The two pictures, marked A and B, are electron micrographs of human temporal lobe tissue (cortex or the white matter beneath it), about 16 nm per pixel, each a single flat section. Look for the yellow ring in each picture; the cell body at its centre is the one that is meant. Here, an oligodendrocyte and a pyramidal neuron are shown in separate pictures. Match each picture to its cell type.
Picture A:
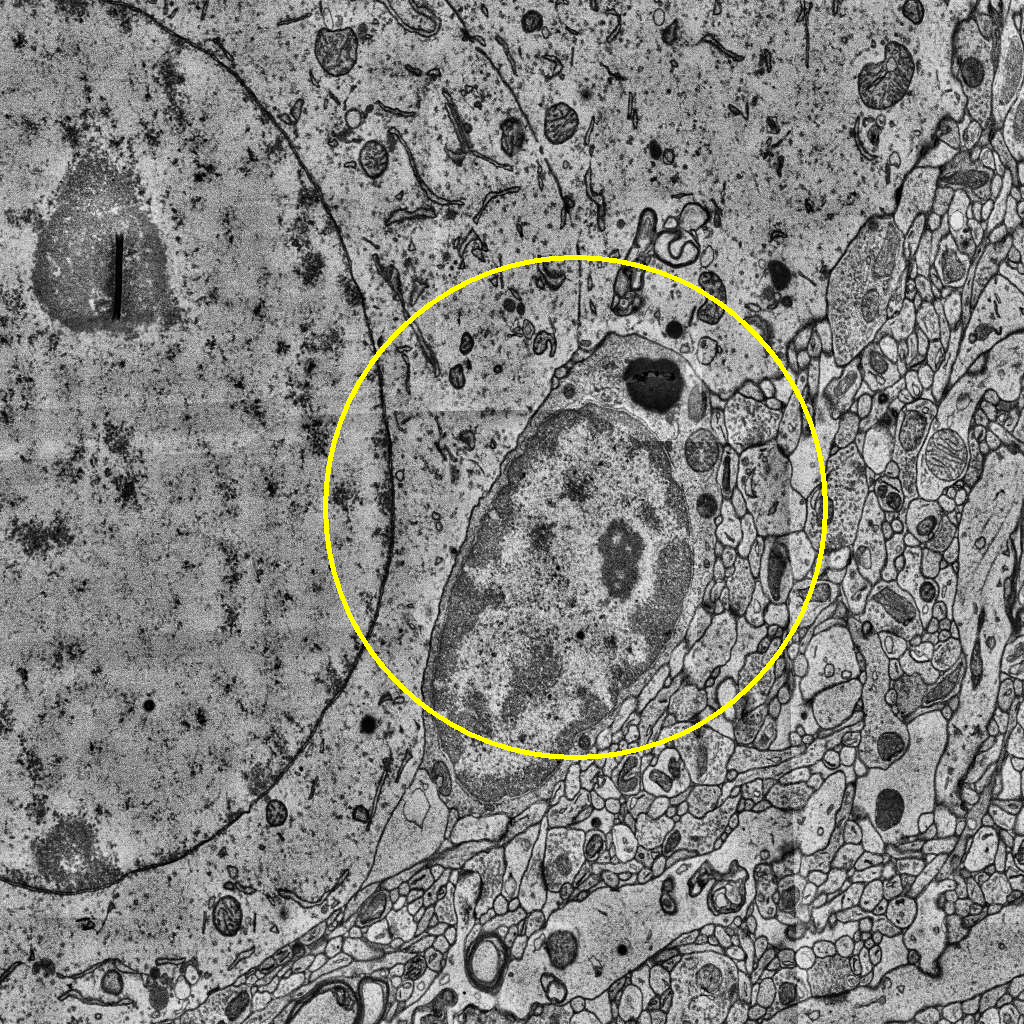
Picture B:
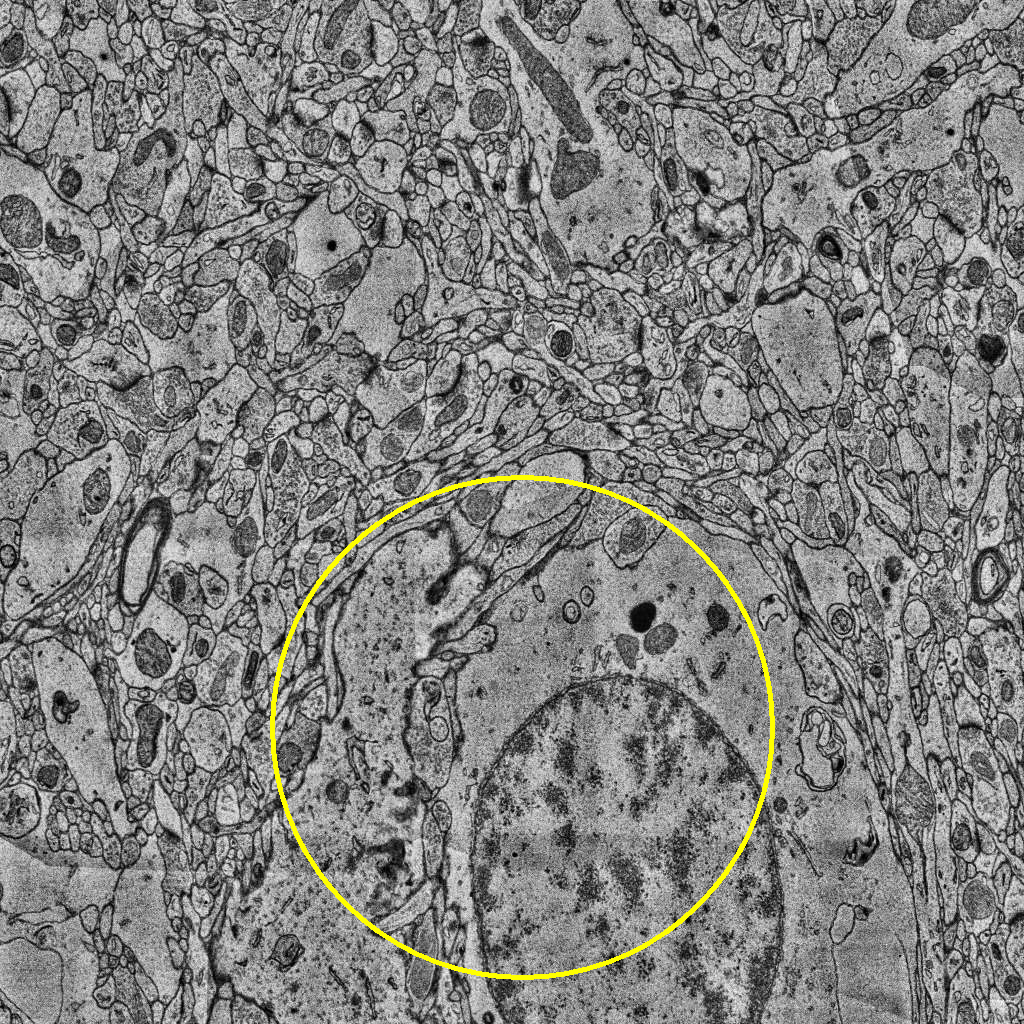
It is picture A that shows an oligodendrocyte, and picture B that shows a pyramidal neuron.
